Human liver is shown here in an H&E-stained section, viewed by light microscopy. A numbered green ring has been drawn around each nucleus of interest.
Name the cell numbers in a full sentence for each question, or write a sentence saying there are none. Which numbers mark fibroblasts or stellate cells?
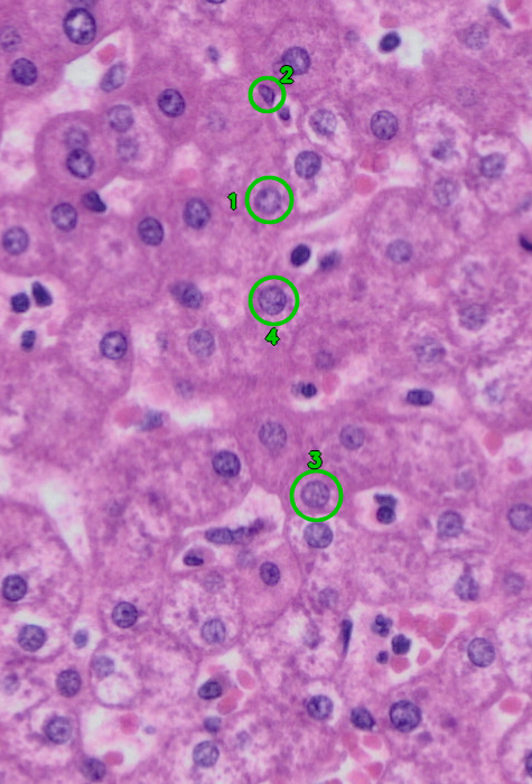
Unlike the other numbered cells, cell 2 is a fibroblast or stellate cell.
